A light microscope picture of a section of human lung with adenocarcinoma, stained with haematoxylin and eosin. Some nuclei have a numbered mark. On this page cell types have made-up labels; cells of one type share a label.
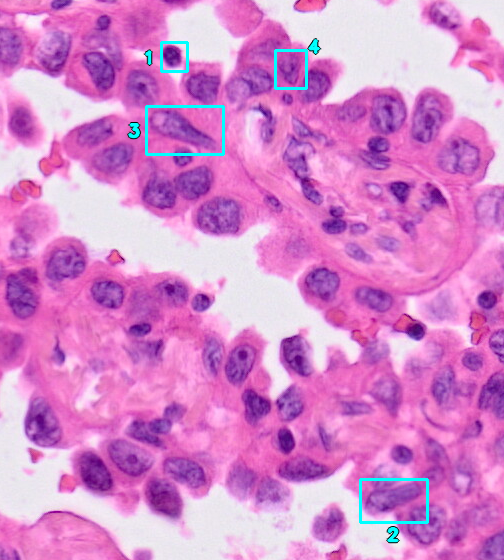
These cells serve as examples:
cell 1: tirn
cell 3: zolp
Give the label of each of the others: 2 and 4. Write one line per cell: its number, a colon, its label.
2: zolp
4: zolp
